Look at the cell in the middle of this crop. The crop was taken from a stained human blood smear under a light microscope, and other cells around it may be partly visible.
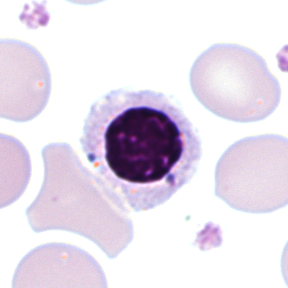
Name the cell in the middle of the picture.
normoblast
